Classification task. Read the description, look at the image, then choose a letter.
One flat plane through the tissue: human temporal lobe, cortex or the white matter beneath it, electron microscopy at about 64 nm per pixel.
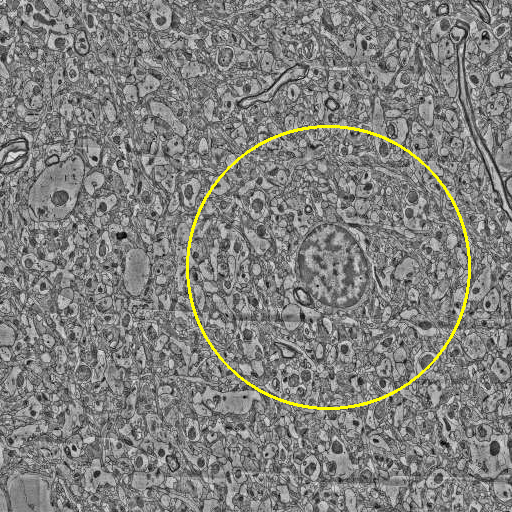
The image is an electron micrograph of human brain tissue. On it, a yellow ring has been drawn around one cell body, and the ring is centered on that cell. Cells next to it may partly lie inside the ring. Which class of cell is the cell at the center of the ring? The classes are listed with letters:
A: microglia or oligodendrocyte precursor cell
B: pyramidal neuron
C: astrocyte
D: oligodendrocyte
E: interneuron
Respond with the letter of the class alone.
D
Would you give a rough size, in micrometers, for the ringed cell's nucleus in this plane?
In this plane, approximately 5 micrometres across.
